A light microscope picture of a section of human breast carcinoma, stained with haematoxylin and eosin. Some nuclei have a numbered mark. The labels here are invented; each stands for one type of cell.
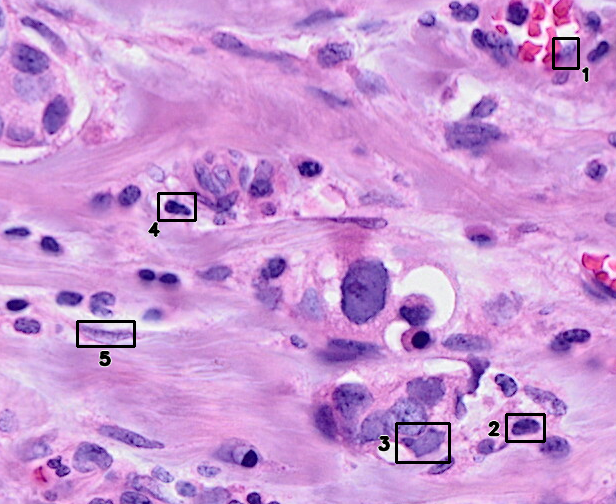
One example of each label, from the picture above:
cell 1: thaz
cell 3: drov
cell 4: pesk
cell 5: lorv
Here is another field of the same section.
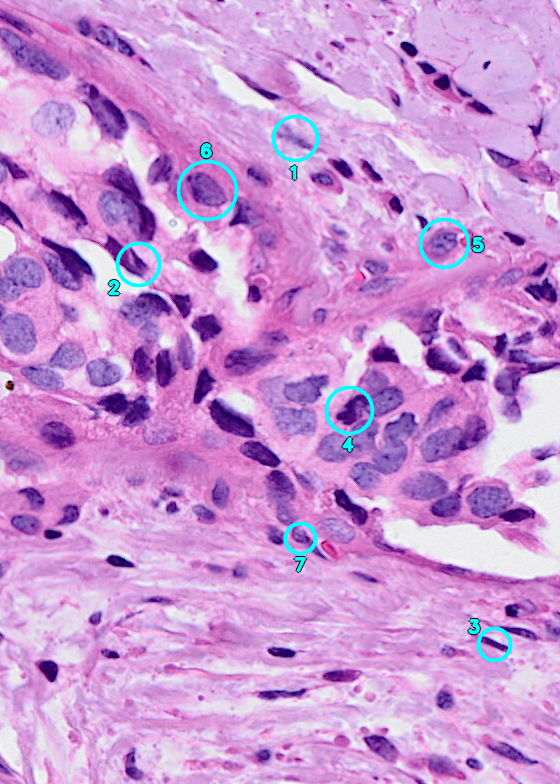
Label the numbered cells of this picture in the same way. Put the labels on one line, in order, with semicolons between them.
lorv; drov; lorv; drov; thaz; drov; thaz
